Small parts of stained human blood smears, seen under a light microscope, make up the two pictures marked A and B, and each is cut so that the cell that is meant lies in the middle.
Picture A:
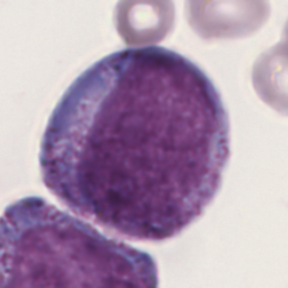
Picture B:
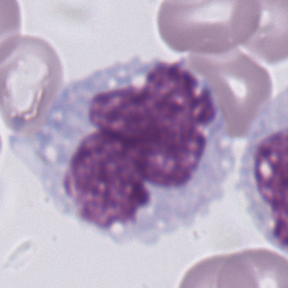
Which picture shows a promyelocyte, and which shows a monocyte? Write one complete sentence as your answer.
Picture A is of a promyelocyte, and picture B is of a monocyte.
